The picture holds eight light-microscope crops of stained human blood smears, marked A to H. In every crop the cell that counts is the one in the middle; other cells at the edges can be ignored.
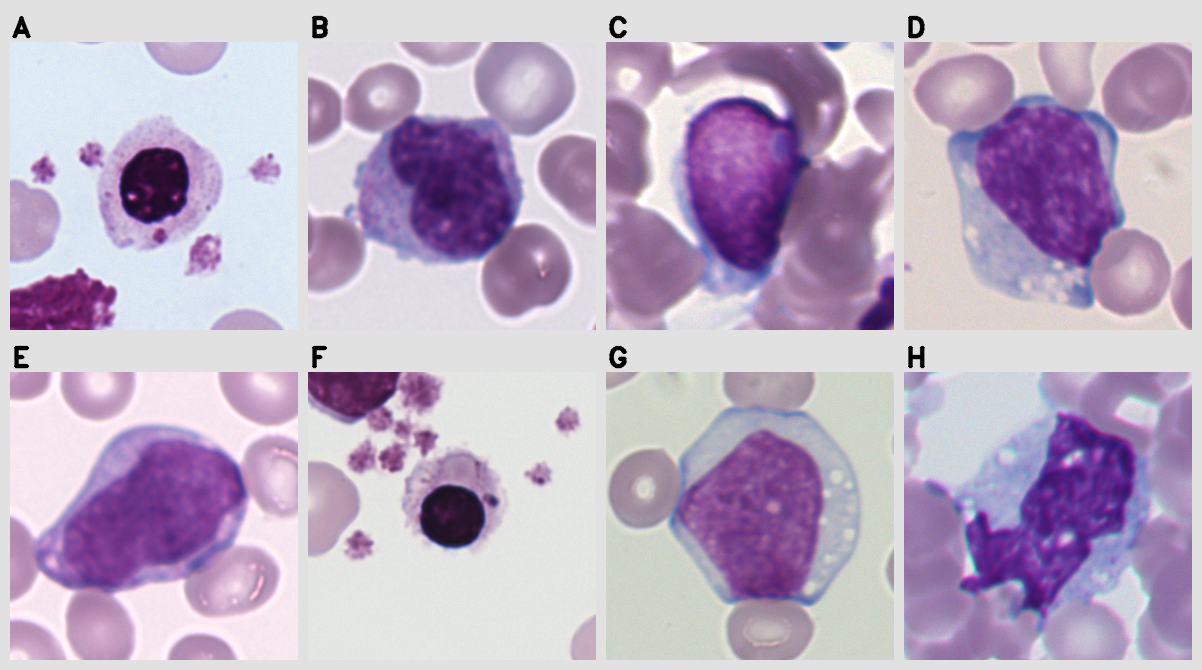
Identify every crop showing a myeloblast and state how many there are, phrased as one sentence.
Taken together, crops C, D and G make up the three that show myeloblasts.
